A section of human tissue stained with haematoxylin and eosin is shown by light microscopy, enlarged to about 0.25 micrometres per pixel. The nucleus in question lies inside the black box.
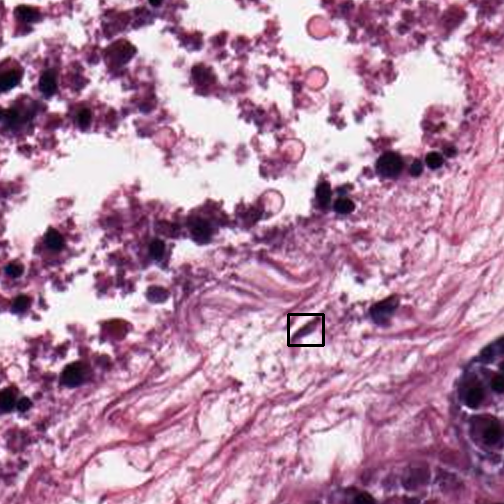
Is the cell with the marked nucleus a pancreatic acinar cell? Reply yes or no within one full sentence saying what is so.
No, instead of a pancreatic acinar cell, a supporting cell is what the marked nucleus belongs to.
